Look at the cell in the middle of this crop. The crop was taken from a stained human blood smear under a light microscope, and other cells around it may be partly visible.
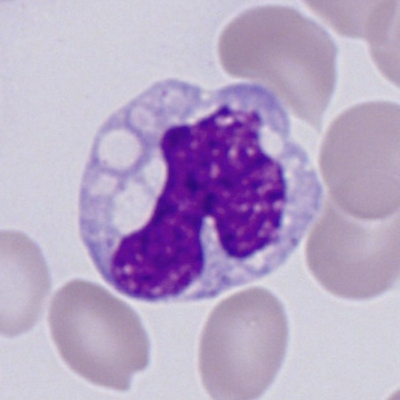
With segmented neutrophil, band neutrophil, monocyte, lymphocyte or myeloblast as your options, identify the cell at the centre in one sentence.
The cell in the exact centre of the crop is a monocyte.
